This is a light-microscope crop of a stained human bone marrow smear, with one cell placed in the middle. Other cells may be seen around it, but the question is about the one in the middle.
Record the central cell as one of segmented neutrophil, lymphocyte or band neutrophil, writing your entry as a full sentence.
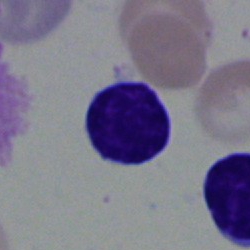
The identification for the central cell is a lymphocyte.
